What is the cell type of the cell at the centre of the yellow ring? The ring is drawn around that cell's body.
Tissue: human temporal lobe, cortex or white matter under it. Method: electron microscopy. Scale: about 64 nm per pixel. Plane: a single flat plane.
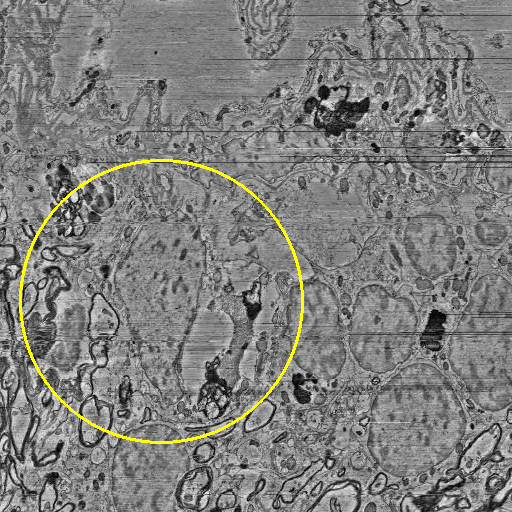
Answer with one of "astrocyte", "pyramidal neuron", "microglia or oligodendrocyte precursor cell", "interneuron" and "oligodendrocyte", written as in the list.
astrocyte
